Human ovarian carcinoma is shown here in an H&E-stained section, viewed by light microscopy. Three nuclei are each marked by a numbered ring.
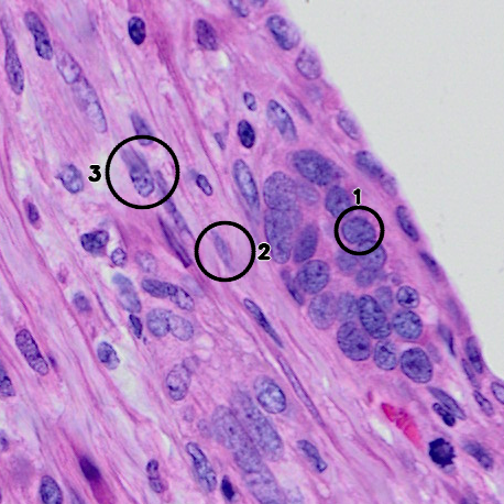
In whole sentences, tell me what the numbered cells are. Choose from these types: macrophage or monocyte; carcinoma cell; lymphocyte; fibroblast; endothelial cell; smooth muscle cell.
Cell 1 is a carcinoma cell, cell 2 is a fibroblast and cell 3 is a macrophage or monocyte.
